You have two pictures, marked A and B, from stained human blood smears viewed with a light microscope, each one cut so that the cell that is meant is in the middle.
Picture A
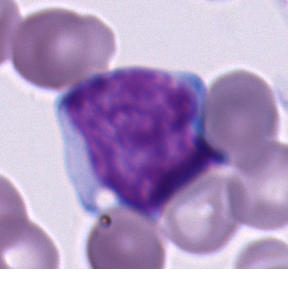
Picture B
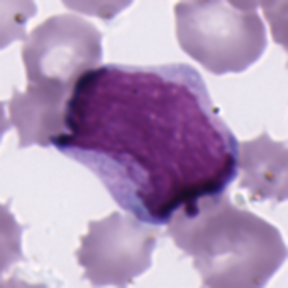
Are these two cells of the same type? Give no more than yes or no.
yes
